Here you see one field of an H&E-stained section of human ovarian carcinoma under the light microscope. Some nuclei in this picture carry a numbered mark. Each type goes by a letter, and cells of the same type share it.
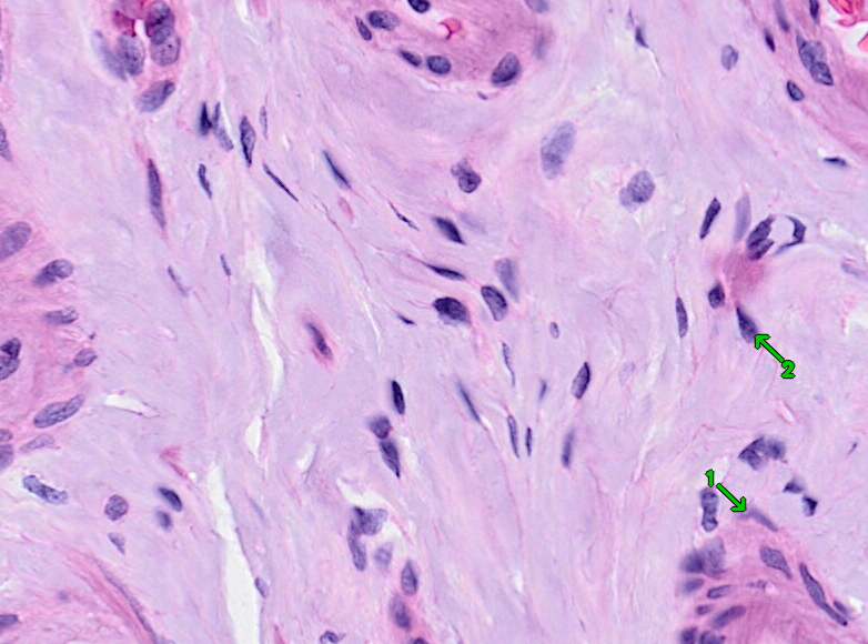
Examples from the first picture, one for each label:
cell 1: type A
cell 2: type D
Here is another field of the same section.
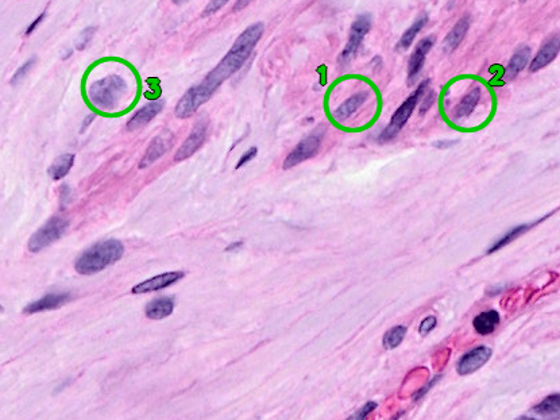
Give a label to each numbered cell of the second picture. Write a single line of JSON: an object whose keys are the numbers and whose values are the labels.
{"1": "type A", "2": "type A", "3": "type D"}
